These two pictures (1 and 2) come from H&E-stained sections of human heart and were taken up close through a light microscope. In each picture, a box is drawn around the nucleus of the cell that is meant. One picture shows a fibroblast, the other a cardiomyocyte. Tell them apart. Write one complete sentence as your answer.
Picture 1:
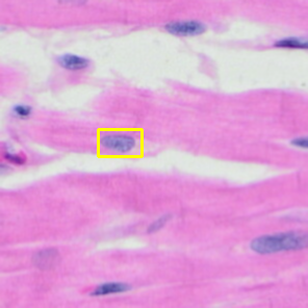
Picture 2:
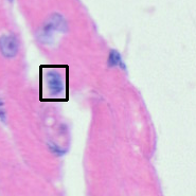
In picture 1 the cell is a cardiomyocyte; in picture 2, a fibroblast.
